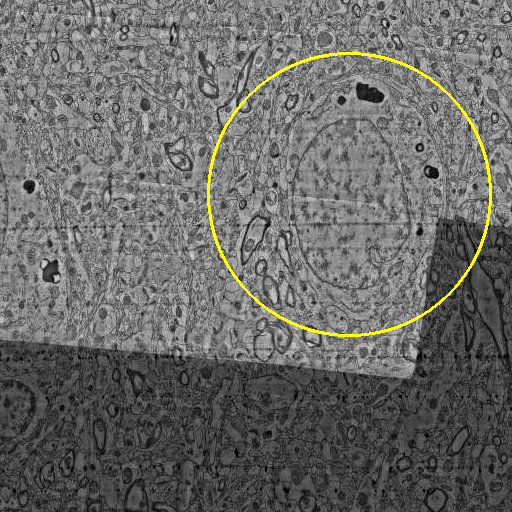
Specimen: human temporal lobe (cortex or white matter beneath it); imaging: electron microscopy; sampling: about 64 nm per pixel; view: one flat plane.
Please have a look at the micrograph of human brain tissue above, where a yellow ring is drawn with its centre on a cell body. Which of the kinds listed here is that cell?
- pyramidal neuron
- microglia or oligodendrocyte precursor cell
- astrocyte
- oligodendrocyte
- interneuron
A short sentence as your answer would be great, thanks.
At the centre of the ring sits a pyramidal neuron.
